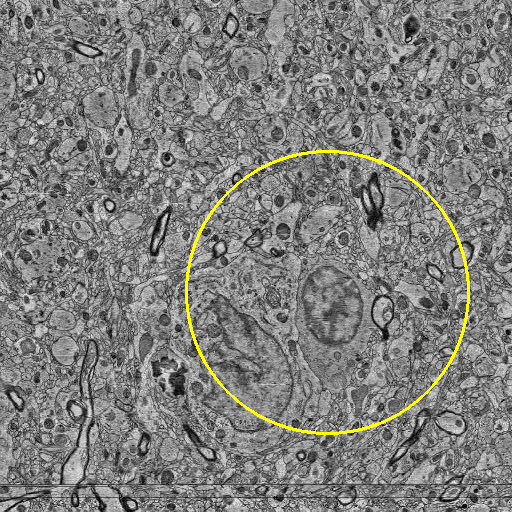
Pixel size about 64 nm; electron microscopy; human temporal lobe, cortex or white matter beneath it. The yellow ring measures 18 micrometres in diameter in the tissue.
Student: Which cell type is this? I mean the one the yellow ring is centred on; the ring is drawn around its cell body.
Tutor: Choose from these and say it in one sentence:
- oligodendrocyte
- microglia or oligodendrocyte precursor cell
The cell the ring is centred on is an oligodendrocyte.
